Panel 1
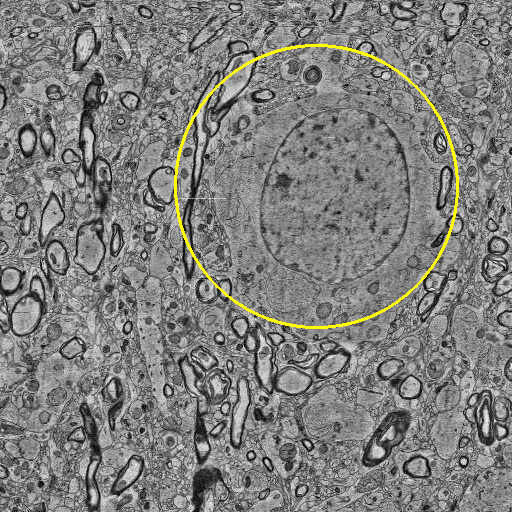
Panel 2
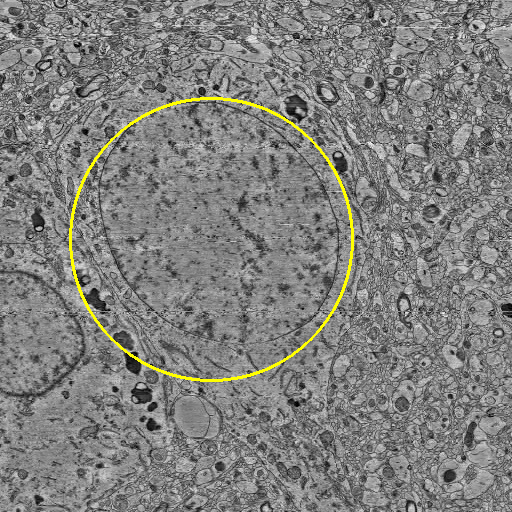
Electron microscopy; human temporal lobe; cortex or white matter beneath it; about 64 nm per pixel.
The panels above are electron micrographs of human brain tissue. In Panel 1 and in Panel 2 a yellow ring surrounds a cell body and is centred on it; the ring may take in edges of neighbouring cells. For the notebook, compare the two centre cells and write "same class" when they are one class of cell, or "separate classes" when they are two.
separate classes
